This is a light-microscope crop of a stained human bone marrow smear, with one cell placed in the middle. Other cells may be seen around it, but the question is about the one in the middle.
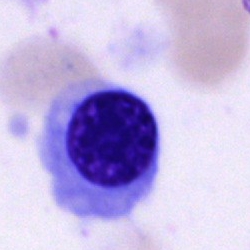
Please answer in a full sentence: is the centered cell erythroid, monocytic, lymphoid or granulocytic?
The cell in the crop's center is a cell of the erythroid lineage.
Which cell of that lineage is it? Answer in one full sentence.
The centrally placed cell is classified as an erythroblast.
